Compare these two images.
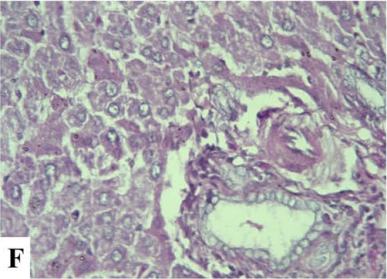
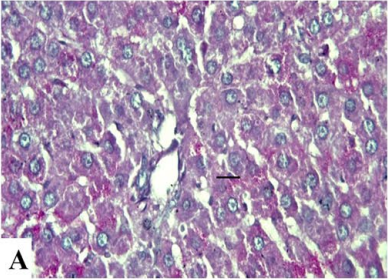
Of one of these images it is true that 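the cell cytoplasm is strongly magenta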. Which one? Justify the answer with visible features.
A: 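First image: the cytoplasm of most cells is pale pinkish-lilac with little magenta. Second image: many cells carry dense magenta granules, especially away from the central vessel. That points to this answer: the second image.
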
